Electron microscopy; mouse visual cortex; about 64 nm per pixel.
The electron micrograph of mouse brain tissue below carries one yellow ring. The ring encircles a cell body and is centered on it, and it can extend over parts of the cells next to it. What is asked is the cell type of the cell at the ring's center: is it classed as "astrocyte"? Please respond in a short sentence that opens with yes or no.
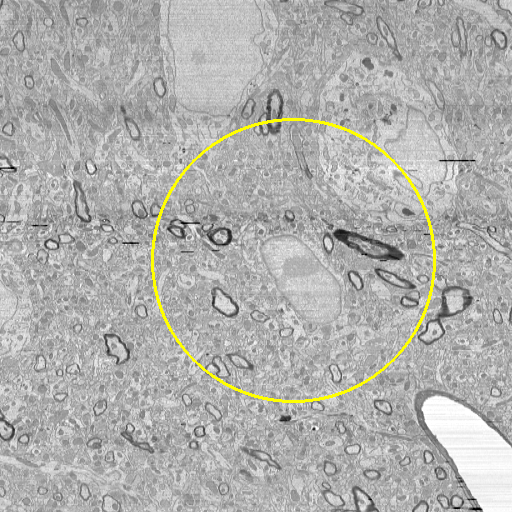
Yes, it is classed that way.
